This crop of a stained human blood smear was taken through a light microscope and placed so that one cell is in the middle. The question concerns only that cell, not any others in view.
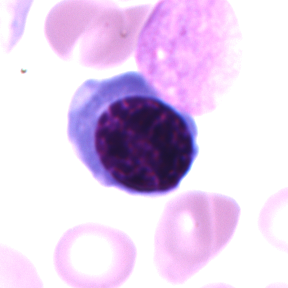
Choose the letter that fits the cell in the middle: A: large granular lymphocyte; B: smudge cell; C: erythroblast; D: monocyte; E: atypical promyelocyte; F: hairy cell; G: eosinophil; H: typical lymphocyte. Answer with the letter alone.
C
